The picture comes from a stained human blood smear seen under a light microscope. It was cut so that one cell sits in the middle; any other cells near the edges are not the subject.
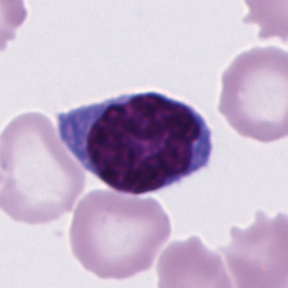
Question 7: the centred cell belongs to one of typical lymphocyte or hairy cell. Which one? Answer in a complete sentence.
For this crop, the central cell is a typical lymphocyte.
